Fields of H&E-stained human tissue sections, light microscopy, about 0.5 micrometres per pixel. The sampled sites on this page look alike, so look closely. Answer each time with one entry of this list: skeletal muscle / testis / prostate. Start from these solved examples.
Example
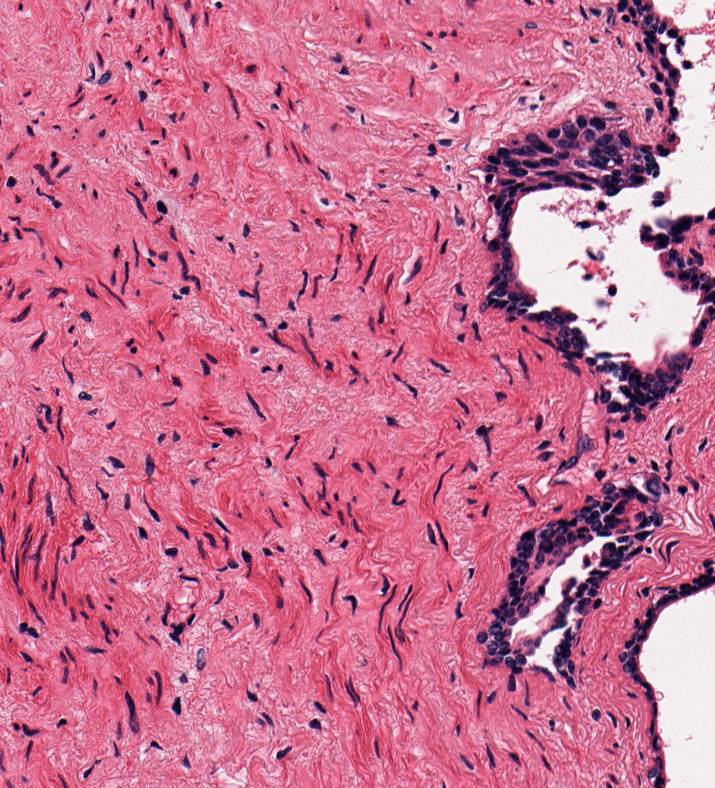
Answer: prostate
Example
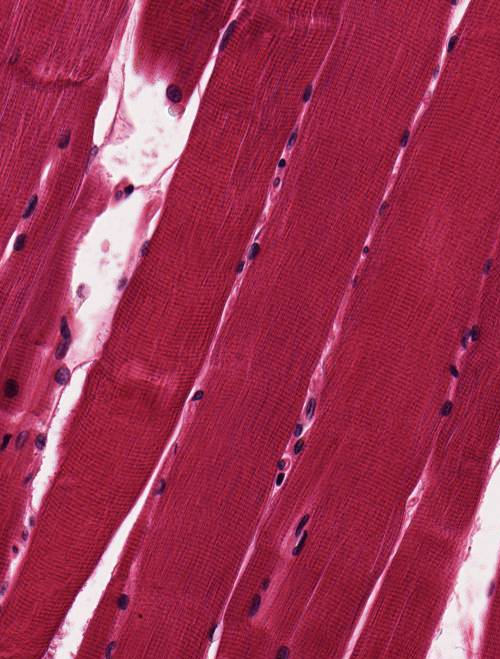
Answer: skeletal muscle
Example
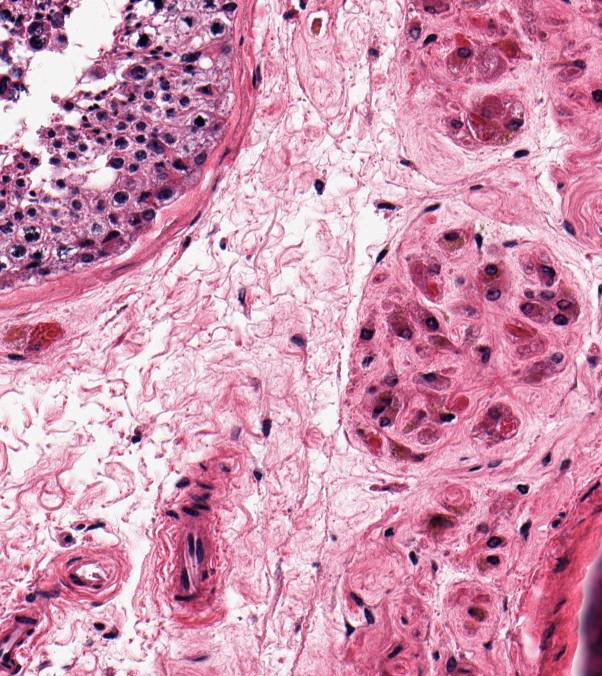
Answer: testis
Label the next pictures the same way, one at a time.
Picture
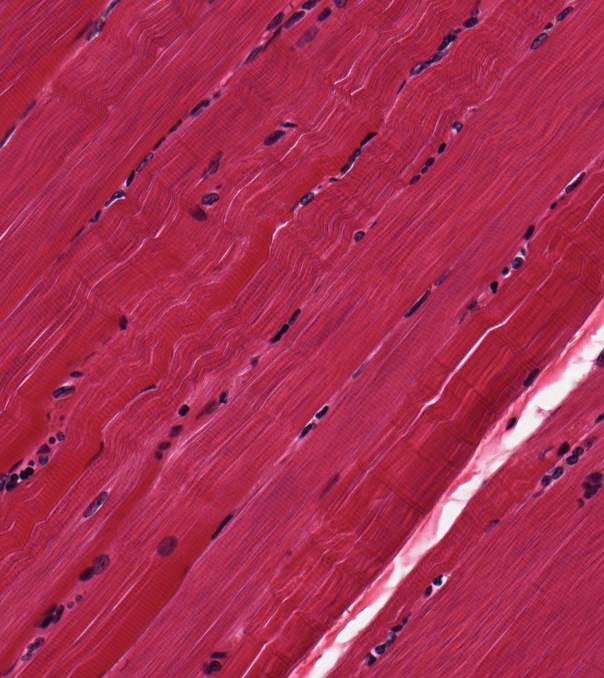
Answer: skeletal muscle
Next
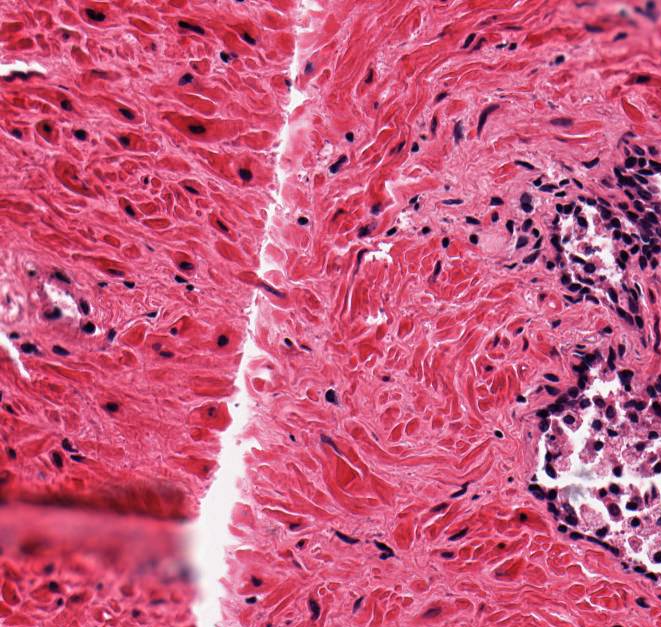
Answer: prostate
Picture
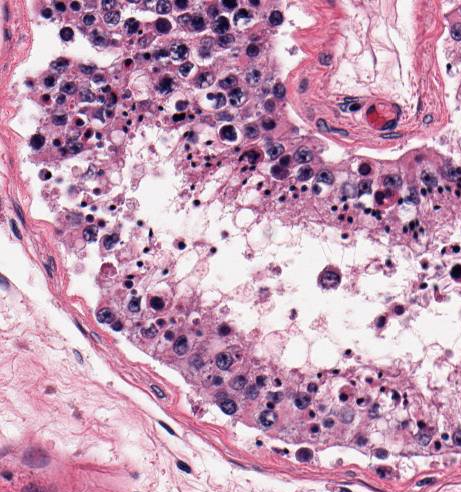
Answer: testis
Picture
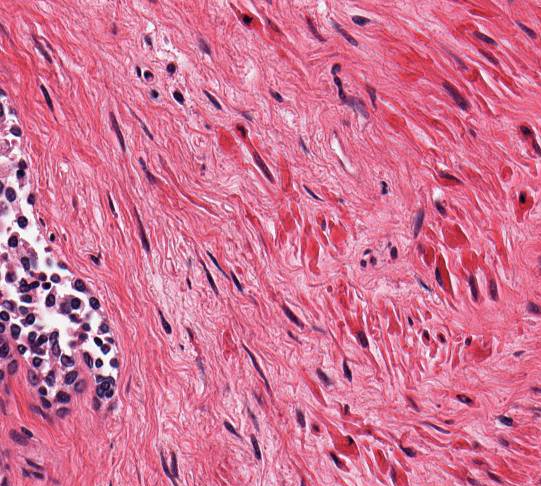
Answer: prostate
